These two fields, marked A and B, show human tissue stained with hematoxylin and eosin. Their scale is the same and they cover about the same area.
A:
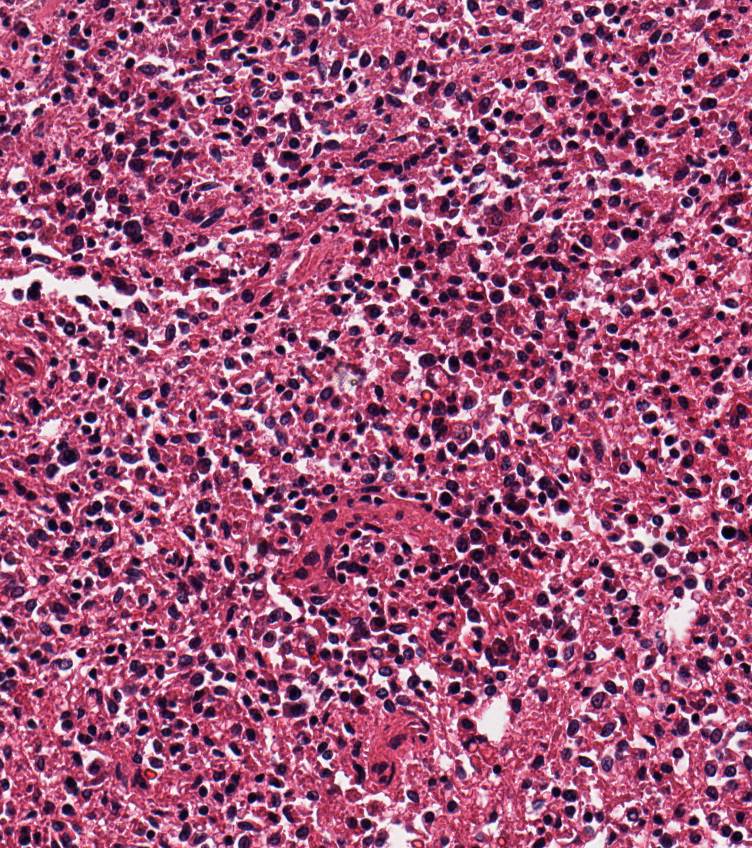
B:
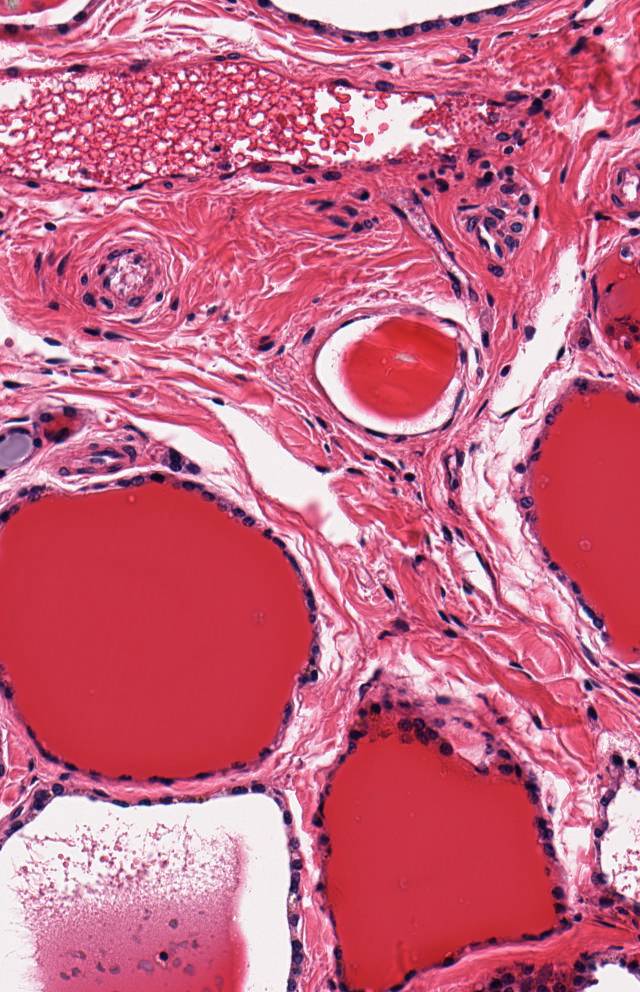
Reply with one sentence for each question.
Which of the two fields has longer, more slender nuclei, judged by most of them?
Longer, more slender nuclei lie in picture B.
